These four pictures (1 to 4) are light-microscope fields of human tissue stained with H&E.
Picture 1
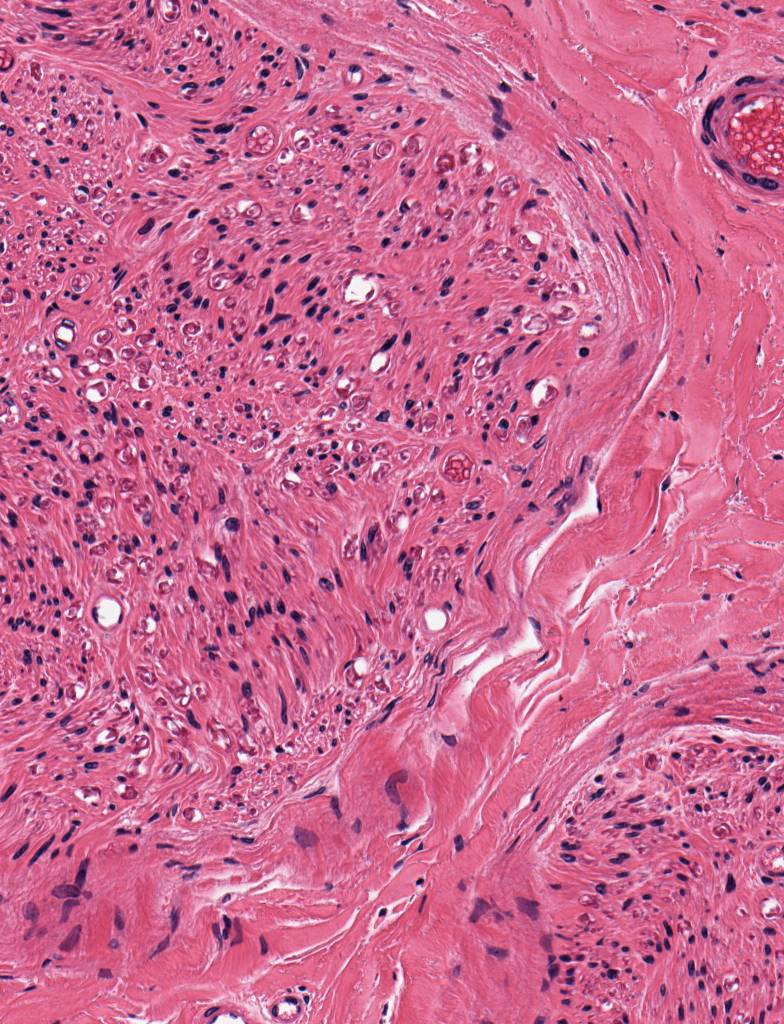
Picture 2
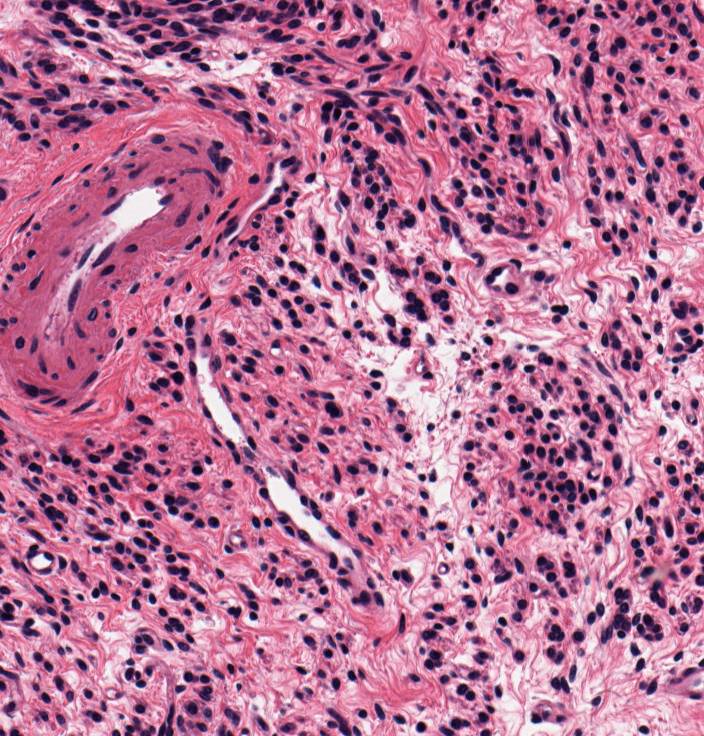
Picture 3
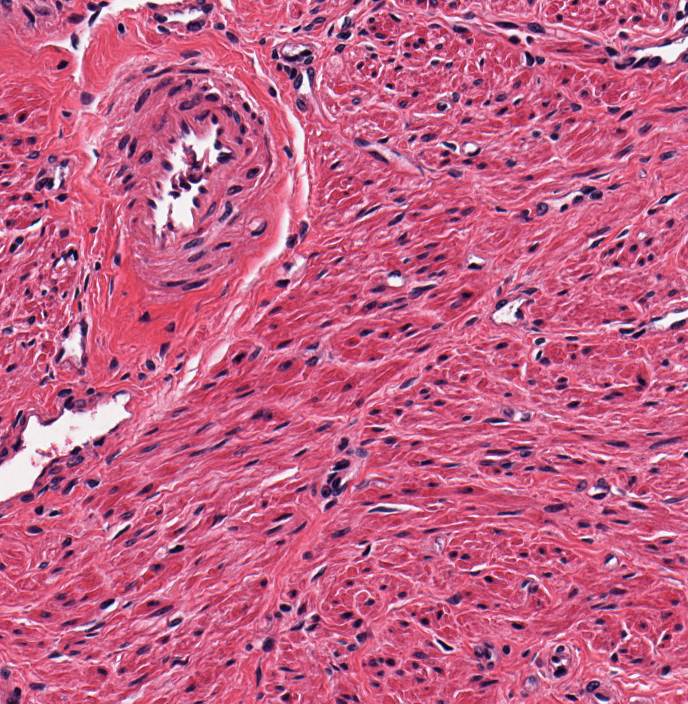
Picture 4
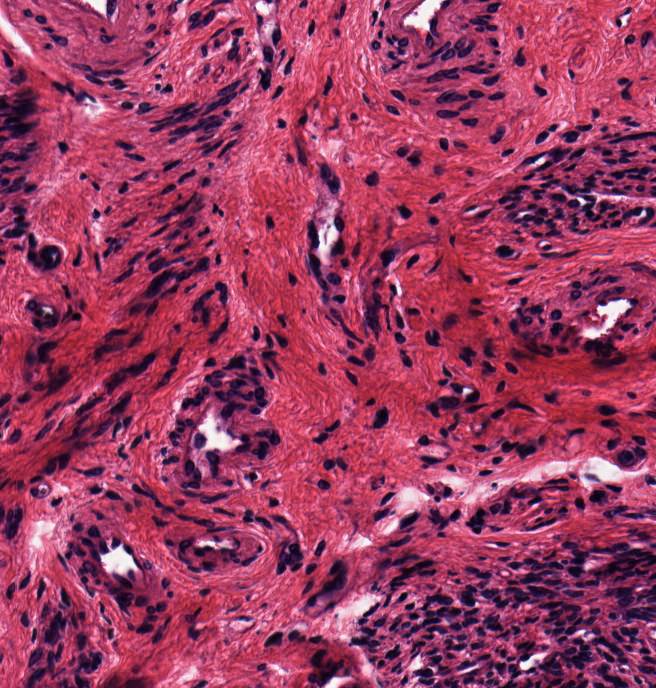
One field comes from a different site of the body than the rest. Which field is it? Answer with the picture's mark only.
1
